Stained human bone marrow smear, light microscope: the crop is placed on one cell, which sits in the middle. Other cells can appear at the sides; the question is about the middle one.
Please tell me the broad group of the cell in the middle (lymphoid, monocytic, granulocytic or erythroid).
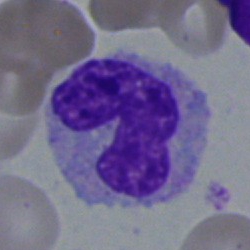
monocytic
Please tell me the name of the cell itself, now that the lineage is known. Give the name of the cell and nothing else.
monocyte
